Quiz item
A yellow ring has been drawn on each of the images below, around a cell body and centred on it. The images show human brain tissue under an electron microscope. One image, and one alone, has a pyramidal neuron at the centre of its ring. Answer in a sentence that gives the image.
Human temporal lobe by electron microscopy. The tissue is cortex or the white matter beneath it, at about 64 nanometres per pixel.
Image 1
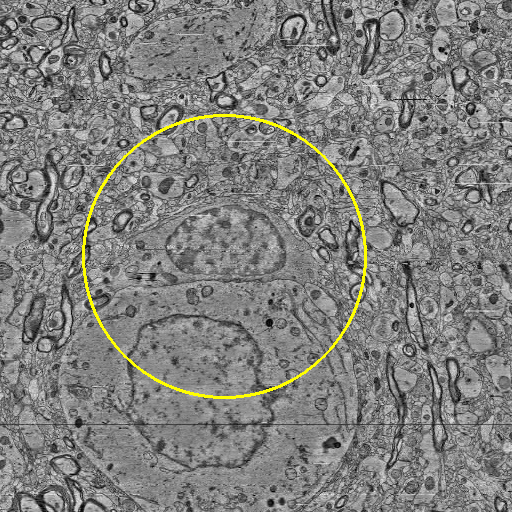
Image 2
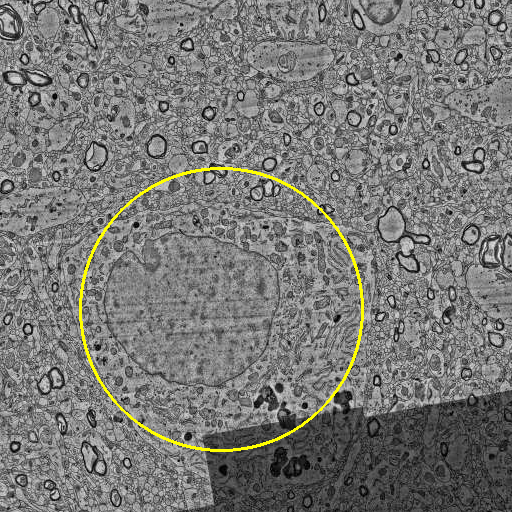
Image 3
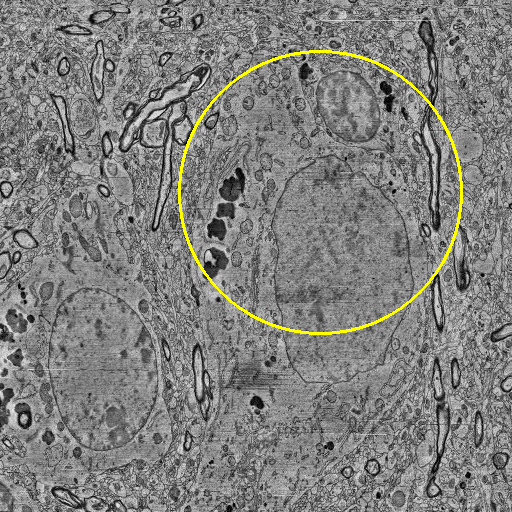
Image 3 shows it at the centre of the ring.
